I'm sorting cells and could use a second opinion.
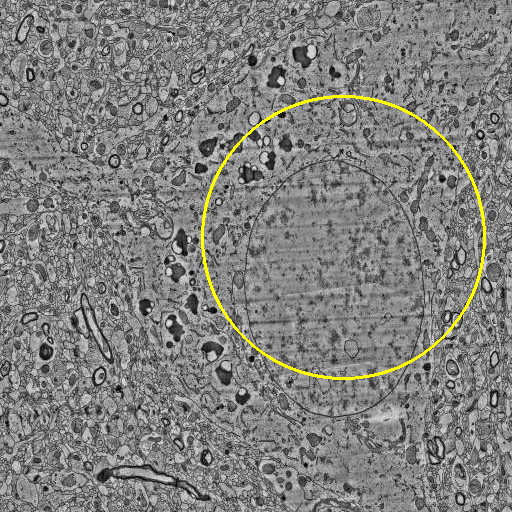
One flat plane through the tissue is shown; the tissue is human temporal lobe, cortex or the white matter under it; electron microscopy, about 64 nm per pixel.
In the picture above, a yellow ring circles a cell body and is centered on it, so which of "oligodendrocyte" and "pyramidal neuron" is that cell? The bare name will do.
pyramidal neuron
